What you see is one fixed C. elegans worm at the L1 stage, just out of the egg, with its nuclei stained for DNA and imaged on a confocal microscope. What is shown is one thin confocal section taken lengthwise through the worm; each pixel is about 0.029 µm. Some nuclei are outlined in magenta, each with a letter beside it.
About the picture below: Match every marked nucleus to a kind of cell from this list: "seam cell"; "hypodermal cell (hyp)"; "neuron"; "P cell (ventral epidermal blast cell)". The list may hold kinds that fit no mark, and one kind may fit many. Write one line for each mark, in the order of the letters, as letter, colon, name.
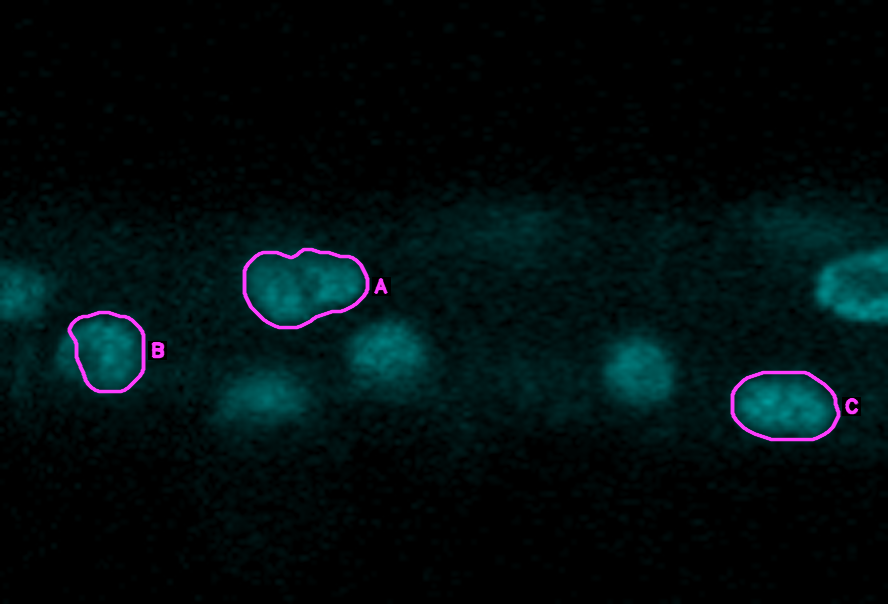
A: hypodermal cell (hyp)
B: seam cell
C: P cell (ventral epidermal blast cell)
